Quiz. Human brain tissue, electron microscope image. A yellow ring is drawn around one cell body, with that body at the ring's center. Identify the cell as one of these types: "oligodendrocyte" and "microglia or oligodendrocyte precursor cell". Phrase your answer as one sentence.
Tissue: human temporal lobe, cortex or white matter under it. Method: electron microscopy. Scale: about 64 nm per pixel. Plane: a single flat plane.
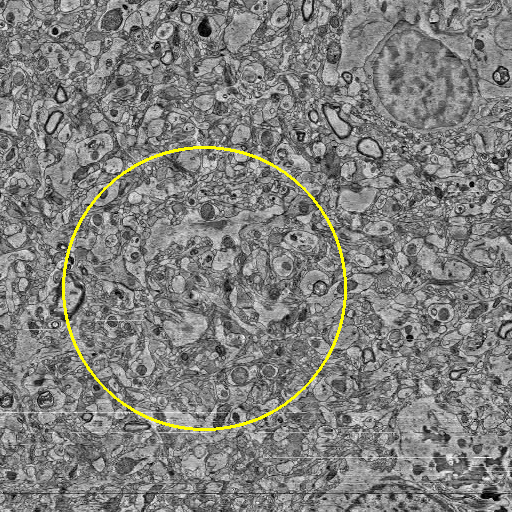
At the center of the ring sits a microglial cell or oligodendrocyte precursor cell.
